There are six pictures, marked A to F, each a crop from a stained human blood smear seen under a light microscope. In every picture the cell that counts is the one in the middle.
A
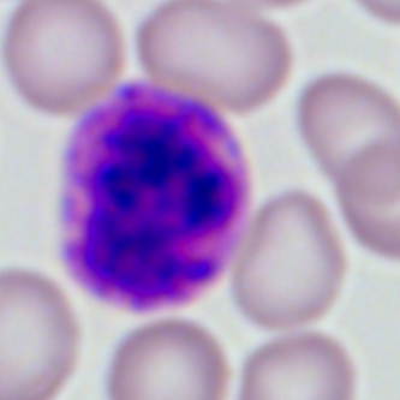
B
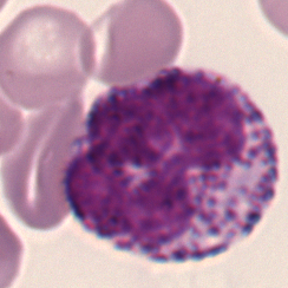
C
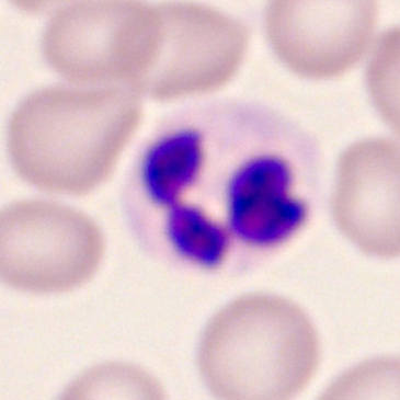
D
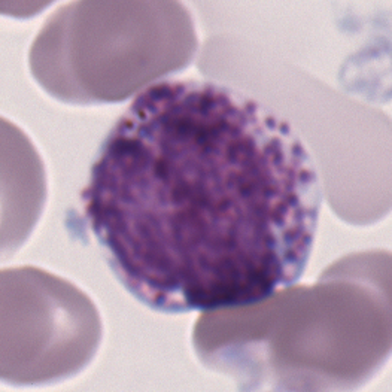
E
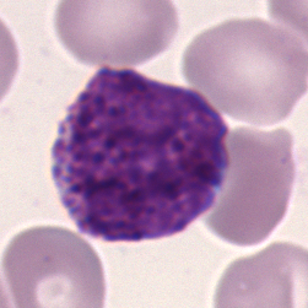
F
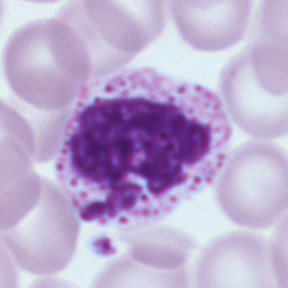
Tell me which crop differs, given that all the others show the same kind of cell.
C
